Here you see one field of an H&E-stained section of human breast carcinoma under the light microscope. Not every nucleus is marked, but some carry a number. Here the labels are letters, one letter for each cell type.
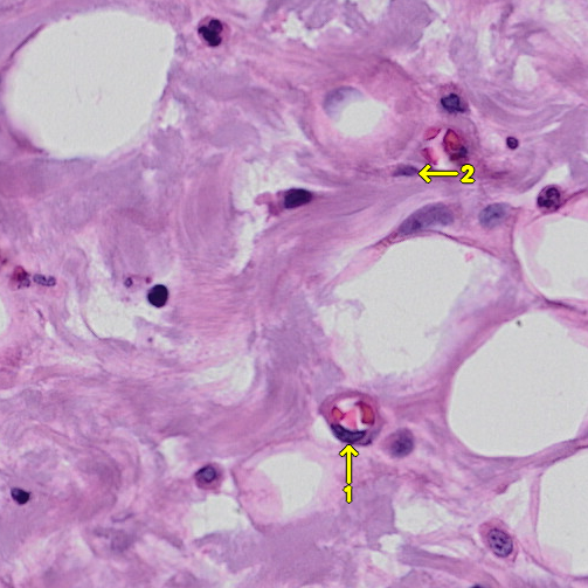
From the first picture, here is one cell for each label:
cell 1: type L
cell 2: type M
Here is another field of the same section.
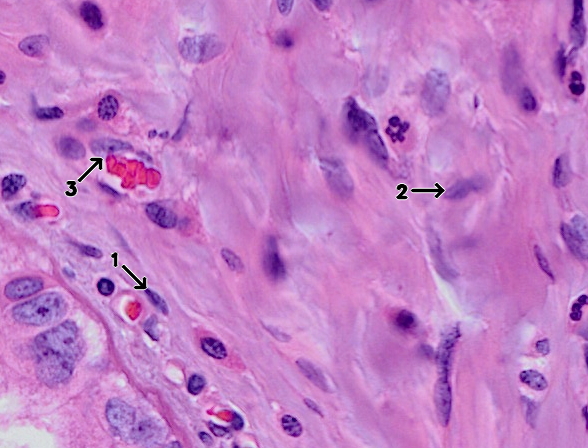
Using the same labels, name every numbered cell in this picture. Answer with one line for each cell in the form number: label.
1: type M
2: type M
3: type L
